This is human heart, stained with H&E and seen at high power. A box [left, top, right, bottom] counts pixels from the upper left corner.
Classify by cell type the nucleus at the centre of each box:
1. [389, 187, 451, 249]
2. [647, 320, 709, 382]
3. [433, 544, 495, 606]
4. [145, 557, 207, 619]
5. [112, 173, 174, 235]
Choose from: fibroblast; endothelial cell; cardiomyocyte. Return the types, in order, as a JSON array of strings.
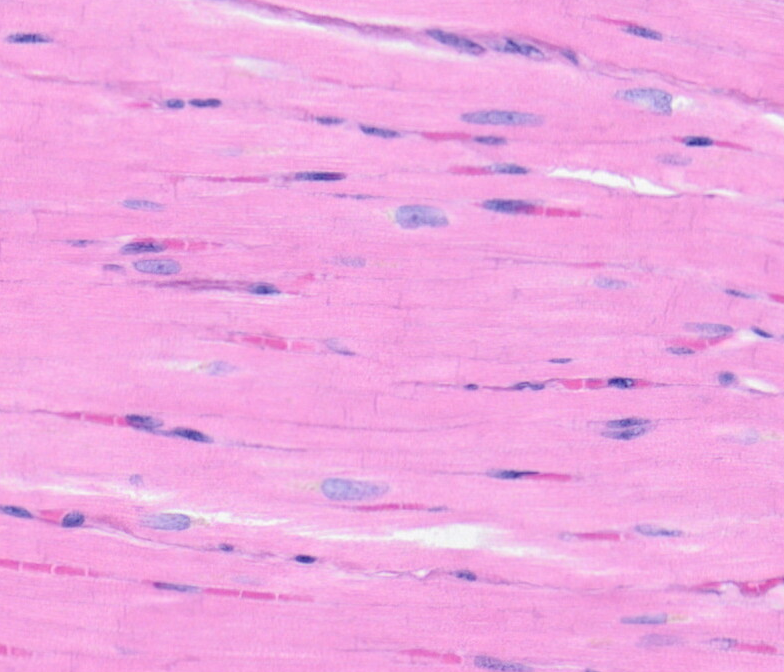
["cardiomyocyte", "endothelial cell", "endothelial cell", "endothelial cell", "cardiomyocyte"]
